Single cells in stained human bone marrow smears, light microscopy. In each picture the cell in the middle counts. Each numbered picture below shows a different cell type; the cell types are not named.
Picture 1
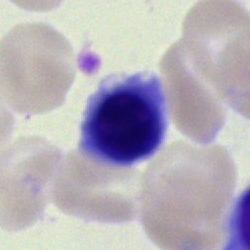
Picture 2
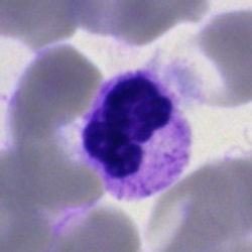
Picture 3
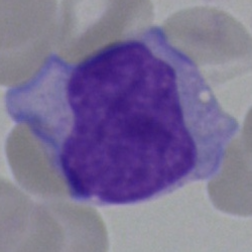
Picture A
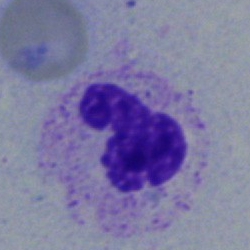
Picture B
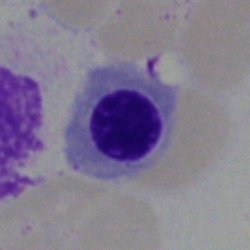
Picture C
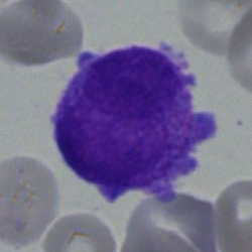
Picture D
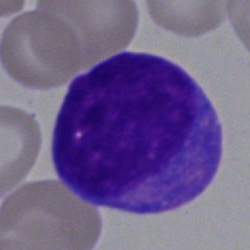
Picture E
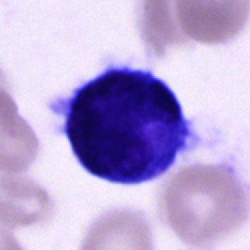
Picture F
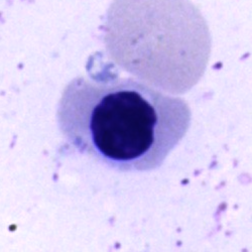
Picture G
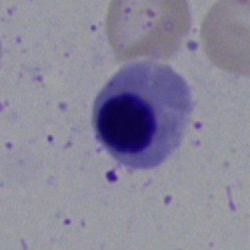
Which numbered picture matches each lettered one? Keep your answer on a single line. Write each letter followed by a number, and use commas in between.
A 2, B 1, C 3, D 3, E 3, F 1, G 1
